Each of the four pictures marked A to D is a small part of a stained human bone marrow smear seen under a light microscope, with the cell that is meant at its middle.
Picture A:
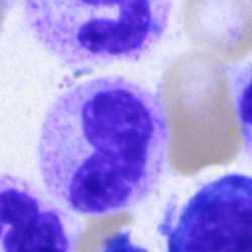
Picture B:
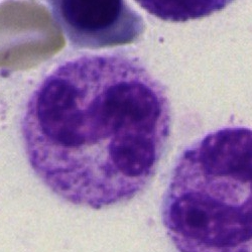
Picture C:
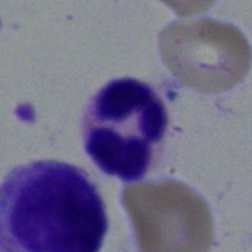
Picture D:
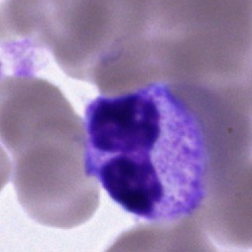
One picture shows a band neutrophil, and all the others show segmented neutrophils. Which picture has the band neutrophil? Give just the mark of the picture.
A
